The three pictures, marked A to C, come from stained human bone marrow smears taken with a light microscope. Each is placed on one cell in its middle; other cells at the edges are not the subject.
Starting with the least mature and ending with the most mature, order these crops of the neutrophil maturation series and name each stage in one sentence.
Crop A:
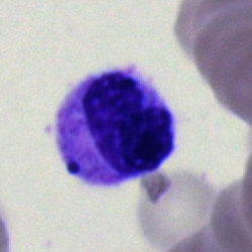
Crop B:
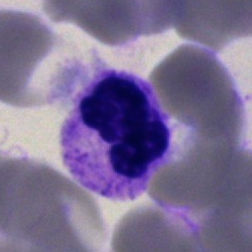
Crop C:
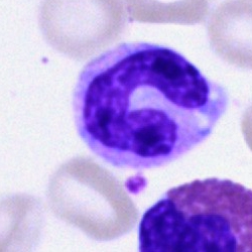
Ordered by maturity, from least to most, the crops are crop A (a metamyelocyte), crop C (a band neutrophil) and crop B (a segmented neutrophil).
